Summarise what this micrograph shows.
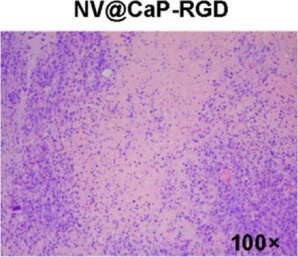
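Around the edges of the field the tumor cells still lie densely packed, their nuclei dark purple and crowded together. Across the middle, a broad area is pale pink and holds only a few scattered nuclei, so that the cells there can no longer be made out as a solid sheet. This pale, nucleus-poor zone is tumor necrosis, where the tumor tissue has died. The border between the crowded living tumor and the pale dead zone is irregular rather than sharp.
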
